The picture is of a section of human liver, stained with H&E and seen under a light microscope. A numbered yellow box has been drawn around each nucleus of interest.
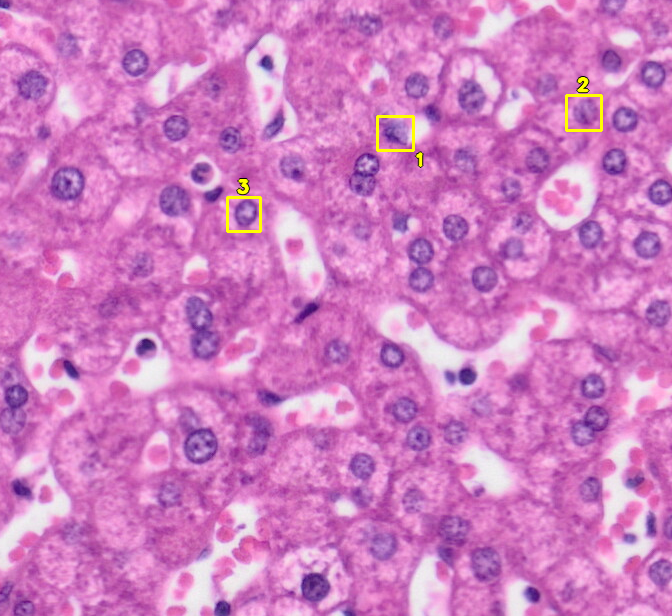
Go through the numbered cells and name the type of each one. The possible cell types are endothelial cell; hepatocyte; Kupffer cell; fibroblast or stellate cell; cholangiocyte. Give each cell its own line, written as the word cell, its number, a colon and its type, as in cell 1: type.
cell 1: endothelial cell
cell 2: hepatocyte
cell 3: hepatocyte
